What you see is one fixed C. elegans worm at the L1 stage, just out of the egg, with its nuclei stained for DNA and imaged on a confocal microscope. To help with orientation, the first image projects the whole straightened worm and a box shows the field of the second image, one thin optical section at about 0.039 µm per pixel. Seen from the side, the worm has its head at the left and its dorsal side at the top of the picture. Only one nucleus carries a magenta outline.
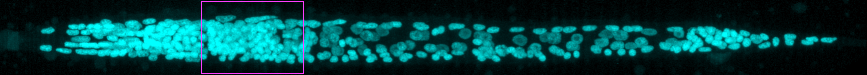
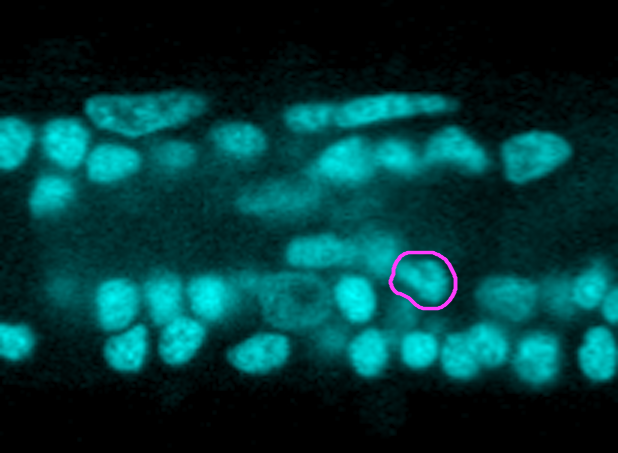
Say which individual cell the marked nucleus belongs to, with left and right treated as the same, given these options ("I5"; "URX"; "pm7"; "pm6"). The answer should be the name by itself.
I5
